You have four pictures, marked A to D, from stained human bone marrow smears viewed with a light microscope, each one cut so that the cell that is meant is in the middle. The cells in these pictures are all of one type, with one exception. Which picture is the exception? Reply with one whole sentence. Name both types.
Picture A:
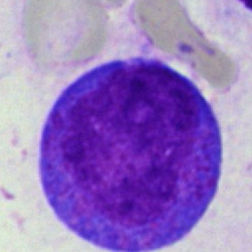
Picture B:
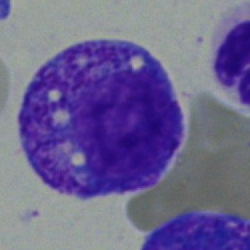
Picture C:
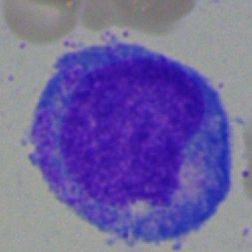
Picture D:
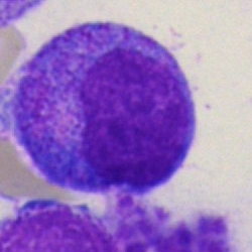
Picture B is the odd one out: it shows a myelocyte, while the others show promyelocytes.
